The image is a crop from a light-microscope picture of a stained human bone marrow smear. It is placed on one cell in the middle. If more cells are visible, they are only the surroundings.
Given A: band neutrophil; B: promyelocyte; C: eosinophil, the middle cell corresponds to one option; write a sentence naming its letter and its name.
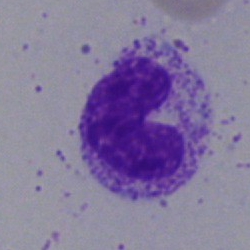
The central cell of the crop is a band neutrophil, which makes A the correct option.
